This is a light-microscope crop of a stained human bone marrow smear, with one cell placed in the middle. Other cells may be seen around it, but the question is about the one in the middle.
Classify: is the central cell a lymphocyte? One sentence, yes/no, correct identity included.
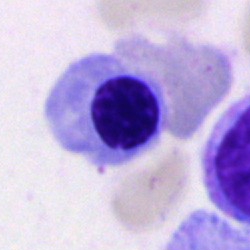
No, the cell in the middle is a normoblast; it is not a lymphocyte.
